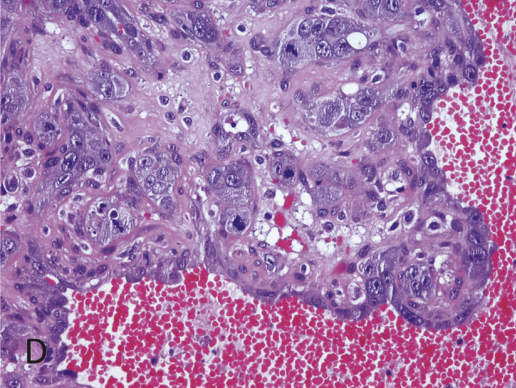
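Tufts and papillary projections of enlarged highly malignant endothelial cells bulge into a large space filled with red blood cells. Some cells contain clear vacuoles, and small lumina with red cells lie within the clusters. Scattered mitotic figures are present. The outer edge of the tumor tissue facing the blood-filled space is lined by these atypical cells, with no orderly single-layered vessel wall.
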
